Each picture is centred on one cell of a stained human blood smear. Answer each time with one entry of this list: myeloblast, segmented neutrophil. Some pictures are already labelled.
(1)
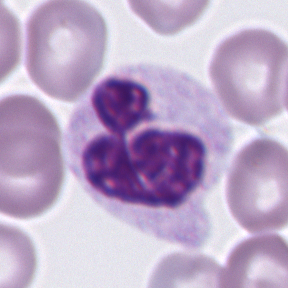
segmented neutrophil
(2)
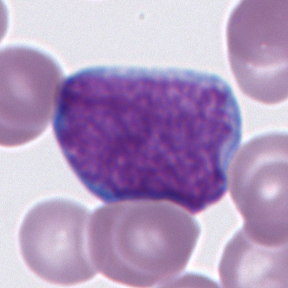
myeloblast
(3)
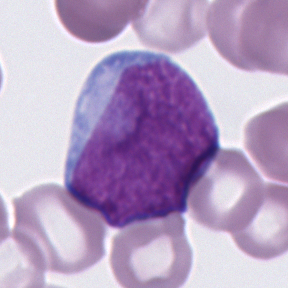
myeloblast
